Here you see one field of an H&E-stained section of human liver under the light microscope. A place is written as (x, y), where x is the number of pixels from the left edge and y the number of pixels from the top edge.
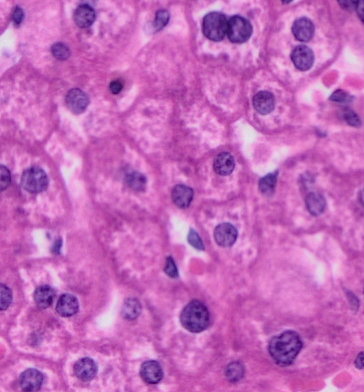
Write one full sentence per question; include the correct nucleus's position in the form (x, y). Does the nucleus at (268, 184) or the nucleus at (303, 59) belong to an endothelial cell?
The nucleus that sits at (268, 184) is the nucleus of an endothelial cell.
